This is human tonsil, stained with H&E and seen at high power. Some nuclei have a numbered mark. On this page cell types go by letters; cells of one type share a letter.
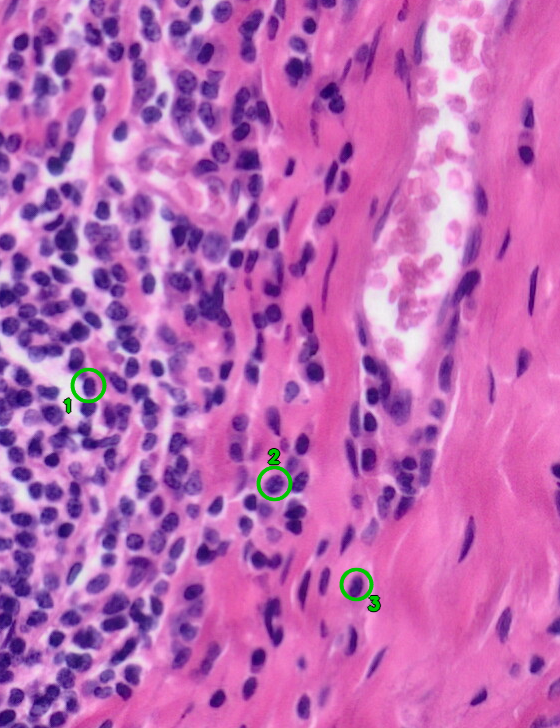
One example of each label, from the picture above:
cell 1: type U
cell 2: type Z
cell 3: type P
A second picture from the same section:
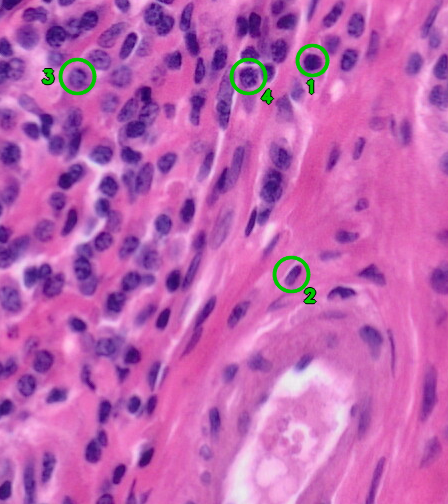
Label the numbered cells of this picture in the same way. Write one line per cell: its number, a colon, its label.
1: type Z
2: type P
3: type Z
4: type Z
